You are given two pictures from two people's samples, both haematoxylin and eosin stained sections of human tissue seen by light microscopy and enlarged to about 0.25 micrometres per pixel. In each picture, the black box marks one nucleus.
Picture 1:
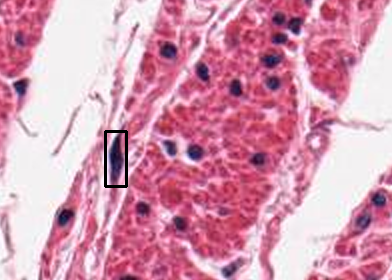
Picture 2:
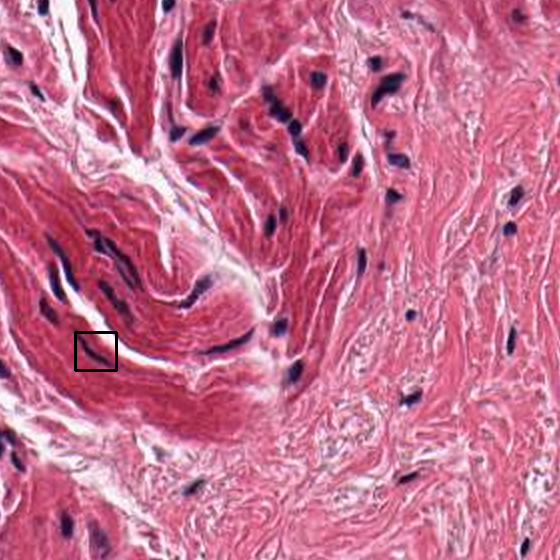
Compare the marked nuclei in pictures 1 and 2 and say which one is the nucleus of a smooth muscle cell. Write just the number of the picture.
2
